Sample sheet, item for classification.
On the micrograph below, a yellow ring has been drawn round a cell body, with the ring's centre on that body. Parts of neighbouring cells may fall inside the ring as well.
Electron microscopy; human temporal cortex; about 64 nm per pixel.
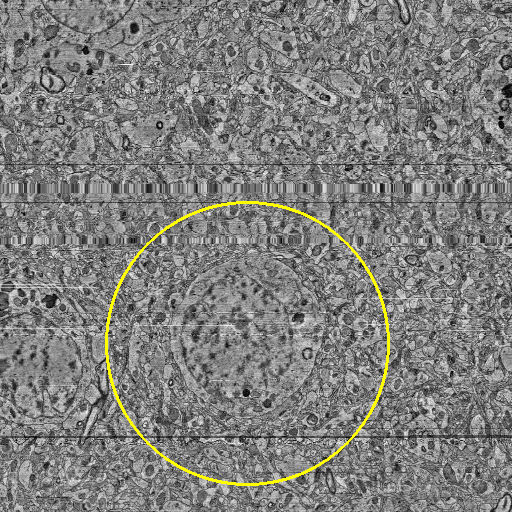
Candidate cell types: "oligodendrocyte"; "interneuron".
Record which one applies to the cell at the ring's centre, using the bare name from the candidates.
interneuron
